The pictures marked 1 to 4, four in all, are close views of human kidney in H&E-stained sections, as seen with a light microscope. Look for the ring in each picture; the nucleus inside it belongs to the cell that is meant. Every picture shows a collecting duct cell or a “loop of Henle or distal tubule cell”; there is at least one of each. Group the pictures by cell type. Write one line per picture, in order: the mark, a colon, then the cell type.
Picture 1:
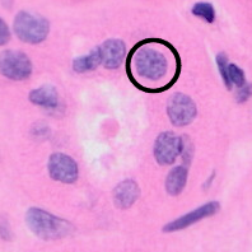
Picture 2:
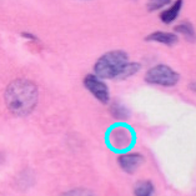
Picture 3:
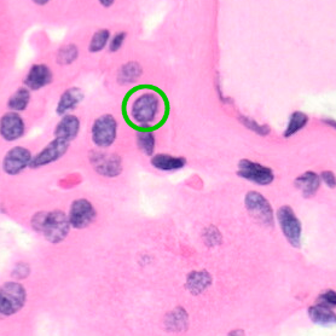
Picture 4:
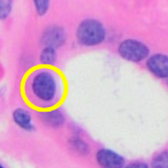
1: loop of Henle or distal tubule cell
2: collecting duct cell
3: collecting duct cell
4: collecting duct cell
